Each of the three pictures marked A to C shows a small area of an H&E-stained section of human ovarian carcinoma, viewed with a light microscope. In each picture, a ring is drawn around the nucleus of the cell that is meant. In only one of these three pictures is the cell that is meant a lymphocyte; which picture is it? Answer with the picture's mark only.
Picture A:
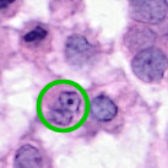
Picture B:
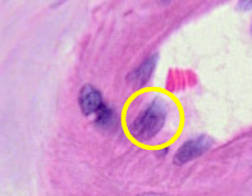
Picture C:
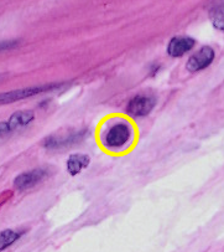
C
